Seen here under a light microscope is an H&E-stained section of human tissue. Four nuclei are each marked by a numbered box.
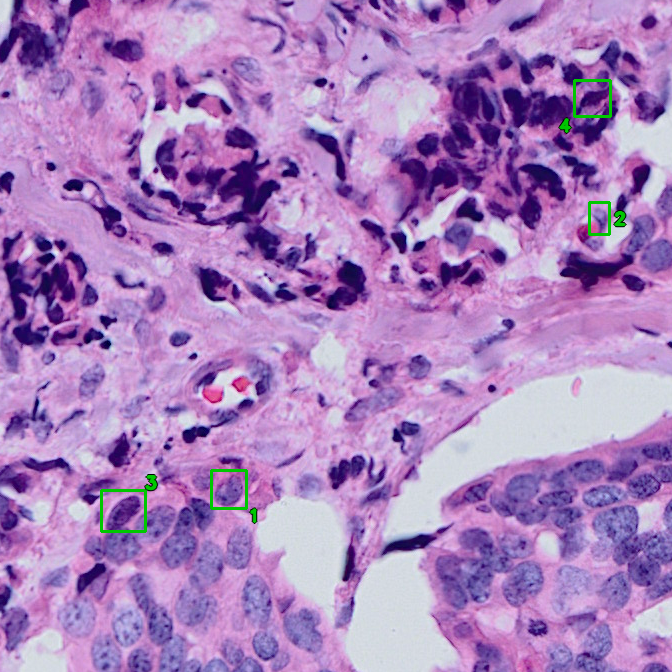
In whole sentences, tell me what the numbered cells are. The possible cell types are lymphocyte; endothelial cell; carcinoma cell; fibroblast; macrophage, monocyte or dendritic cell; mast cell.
Cells 1, 3 and 4 are carcinoma cells. Cell 2 is an endothelial cell.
